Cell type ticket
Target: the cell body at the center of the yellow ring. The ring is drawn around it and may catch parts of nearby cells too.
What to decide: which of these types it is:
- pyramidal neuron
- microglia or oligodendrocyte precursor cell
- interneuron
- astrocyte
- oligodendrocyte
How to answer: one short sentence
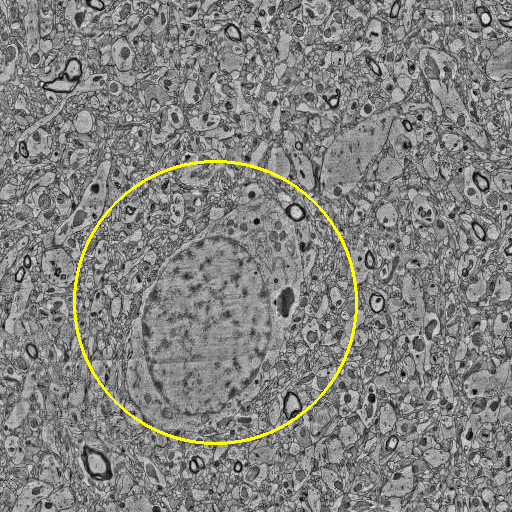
The cell at the center of the ring is an interneuron.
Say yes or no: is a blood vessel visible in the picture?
No.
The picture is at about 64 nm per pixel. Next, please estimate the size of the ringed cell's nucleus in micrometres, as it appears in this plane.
In this plane, approximately 12 by 9 micrometers.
